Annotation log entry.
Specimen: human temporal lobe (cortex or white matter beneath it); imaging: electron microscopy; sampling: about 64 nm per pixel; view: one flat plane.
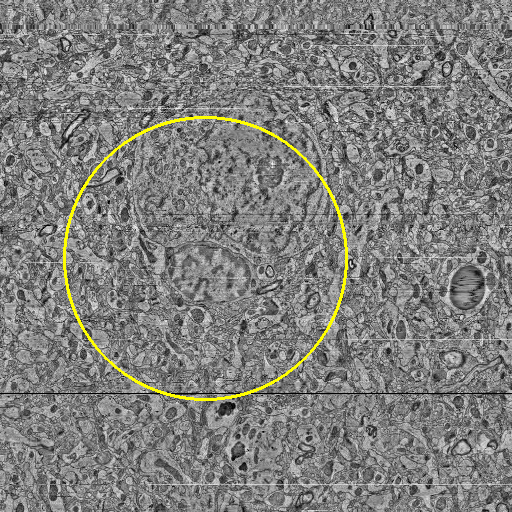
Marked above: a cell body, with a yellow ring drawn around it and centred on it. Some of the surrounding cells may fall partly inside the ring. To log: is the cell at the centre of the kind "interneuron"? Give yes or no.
No, the cell at the centre is of another kind.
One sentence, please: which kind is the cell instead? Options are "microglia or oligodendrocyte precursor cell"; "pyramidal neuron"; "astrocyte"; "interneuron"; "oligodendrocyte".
The cell enclosed by the ring is an oligodendrocyte.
